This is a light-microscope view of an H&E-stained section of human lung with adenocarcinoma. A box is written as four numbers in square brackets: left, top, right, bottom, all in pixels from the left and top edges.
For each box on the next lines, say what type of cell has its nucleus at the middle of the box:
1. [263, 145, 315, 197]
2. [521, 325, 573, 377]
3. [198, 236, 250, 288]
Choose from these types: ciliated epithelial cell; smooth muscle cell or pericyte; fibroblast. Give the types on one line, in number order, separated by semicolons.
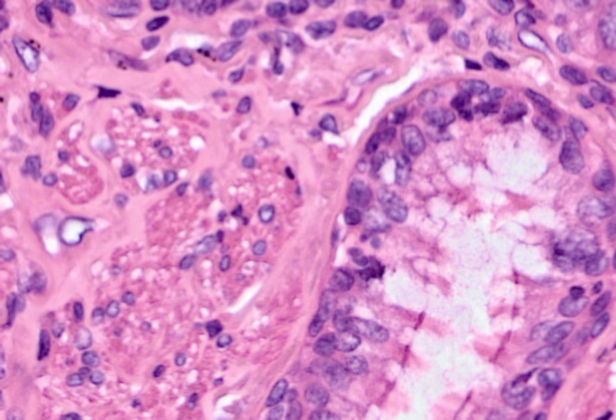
smooth muscle cell or pericyte; ciliated epithelial cell; smooth muscle cell or pericyte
